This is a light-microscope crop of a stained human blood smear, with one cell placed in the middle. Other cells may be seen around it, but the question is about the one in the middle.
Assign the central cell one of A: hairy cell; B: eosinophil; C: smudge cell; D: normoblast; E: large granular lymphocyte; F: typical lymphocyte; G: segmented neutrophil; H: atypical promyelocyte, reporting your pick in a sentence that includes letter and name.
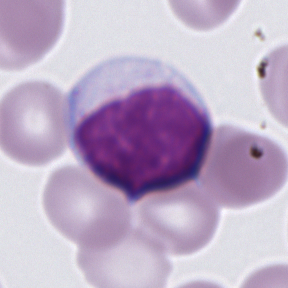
This one is option E, since the cell at the center is a large granular lymphocyte.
